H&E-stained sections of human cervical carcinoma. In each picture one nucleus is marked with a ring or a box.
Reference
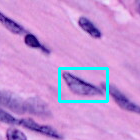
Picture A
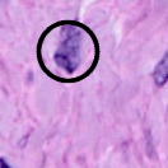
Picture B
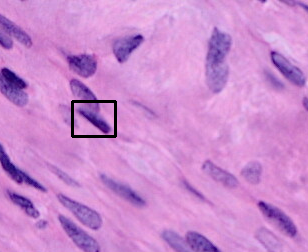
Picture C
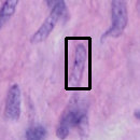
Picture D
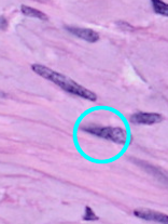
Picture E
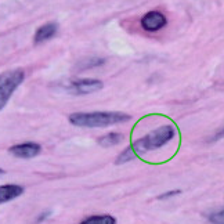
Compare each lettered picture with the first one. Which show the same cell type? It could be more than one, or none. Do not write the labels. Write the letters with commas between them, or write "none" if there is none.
A, B, D, E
